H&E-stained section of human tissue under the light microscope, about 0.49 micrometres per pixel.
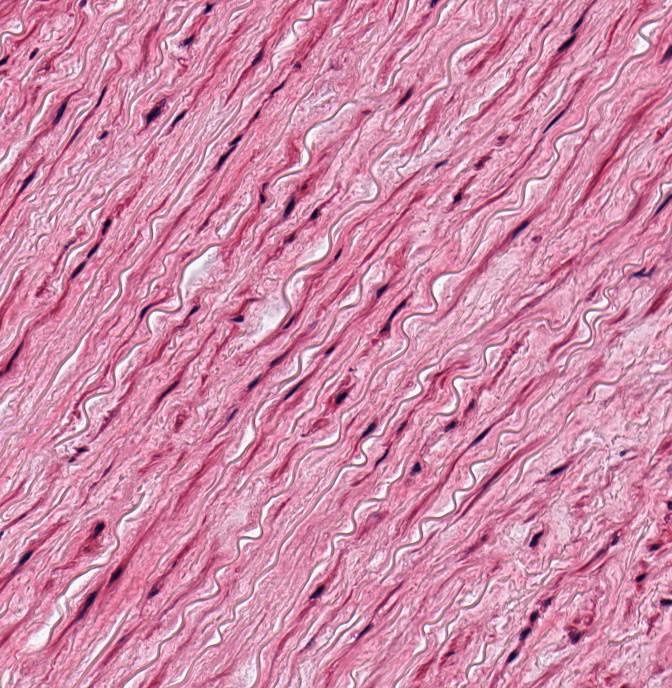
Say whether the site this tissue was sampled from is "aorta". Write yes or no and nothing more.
yes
